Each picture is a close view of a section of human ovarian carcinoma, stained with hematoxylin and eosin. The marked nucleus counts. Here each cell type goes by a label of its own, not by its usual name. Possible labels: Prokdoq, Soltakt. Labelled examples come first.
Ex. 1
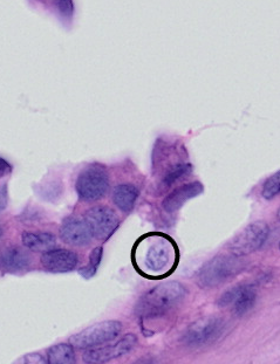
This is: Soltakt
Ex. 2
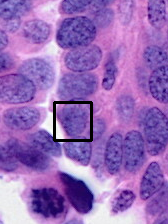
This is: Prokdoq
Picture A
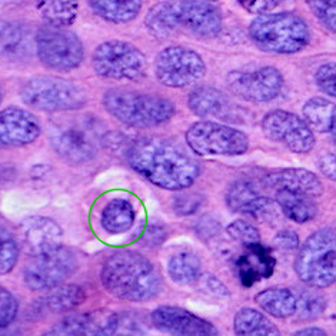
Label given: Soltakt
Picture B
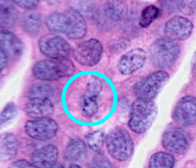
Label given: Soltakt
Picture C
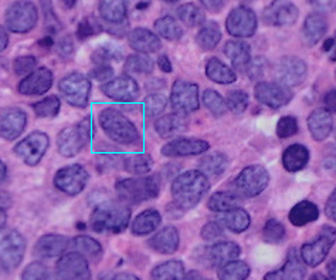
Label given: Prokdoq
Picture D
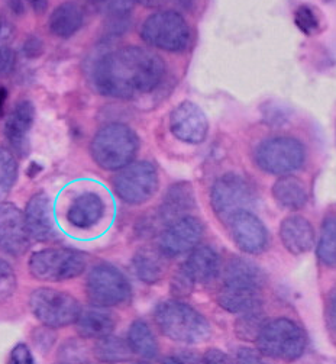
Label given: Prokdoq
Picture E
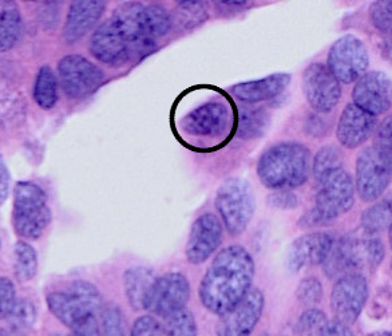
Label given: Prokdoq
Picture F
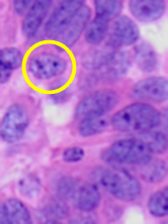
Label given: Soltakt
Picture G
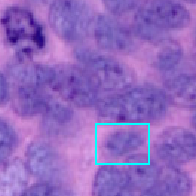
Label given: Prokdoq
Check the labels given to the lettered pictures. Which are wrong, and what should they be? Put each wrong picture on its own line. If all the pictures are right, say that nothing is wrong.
Wrong: D (Prokdoq); correct: Soltakt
